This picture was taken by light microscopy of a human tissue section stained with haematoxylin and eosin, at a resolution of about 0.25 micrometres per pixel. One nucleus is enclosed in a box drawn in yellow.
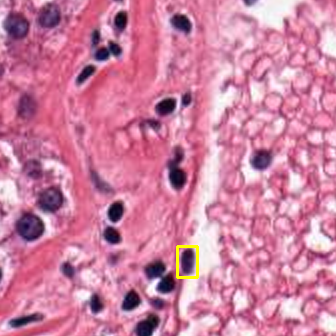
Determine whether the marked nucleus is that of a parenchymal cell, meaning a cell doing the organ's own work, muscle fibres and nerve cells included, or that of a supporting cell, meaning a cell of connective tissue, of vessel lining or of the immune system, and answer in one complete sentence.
Here the marked nucleus is the nucleus of a supporting cell.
